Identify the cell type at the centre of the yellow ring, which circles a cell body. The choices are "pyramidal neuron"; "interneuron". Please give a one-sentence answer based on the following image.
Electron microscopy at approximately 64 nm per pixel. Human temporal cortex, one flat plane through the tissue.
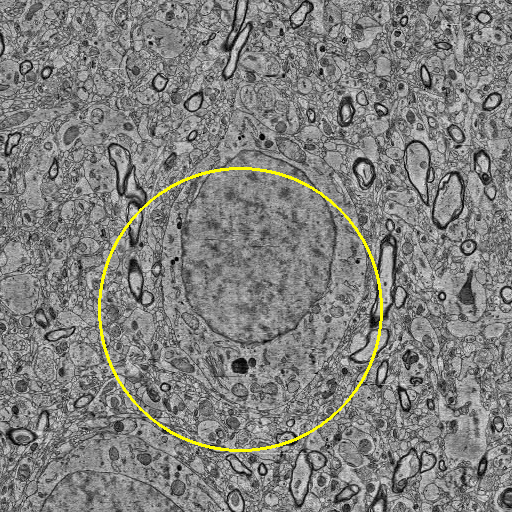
The cell marked by the ring is a pyramidal neuron.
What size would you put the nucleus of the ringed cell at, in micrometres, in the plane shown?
The nucleus is approximately 13 micrometers long by 10 micrometers wide in this plane.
